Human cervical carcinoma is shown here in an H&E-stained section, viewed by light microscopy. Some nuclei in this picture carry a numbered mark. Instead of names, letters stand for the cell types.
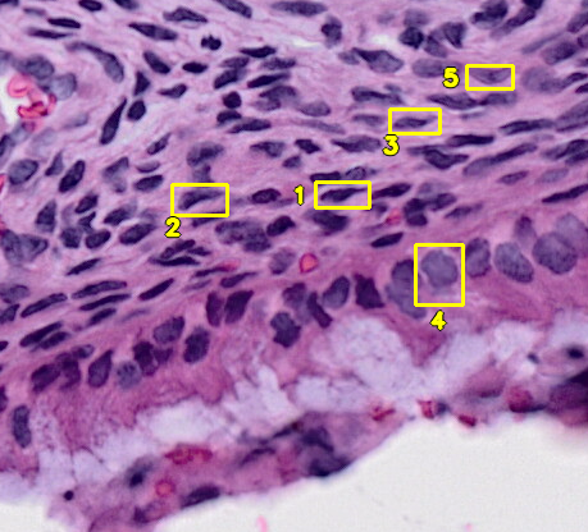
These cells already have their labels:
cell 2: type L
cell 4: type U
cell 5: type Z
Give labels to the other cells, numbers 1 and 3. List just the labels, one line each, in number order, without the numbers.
type L
type L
